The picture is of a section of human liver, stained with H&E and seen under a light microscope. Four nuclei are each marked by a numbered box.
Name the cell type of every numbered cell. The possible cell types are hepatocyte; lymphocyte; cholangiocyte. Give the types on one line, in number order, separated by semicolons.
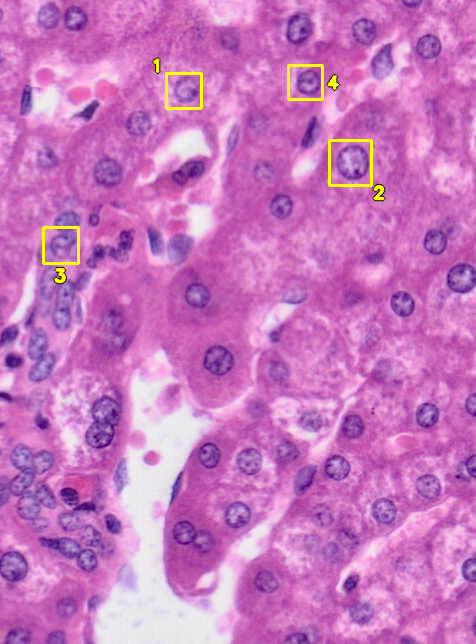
hepatocyte; hepatocyte; cholangiocyte; hepatocyte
